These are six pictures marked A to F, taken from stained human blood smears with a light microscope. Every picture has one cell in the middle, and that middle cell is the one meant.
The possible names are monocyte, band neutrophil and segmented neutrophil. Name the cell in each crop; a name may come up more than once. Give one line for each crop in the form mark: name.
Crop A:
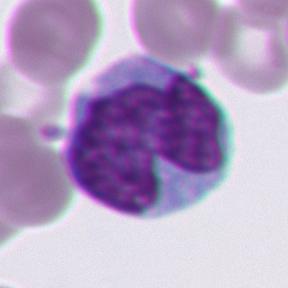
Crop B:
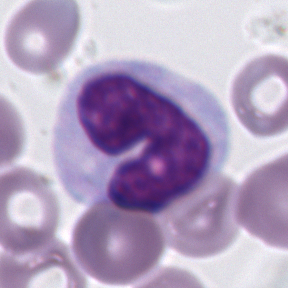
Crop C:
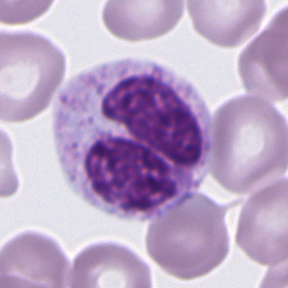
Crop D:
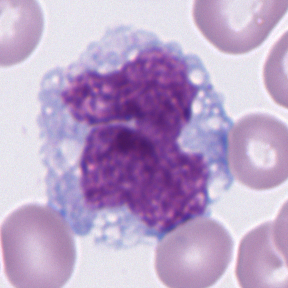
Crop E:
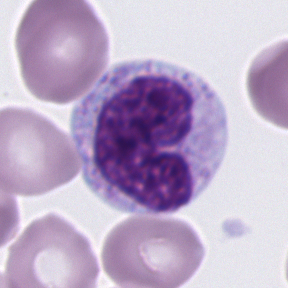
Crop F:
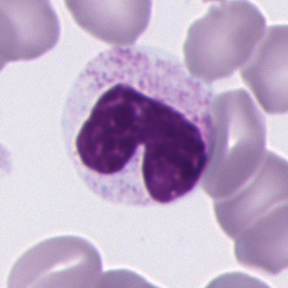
A: monocyte
B: band neutrophil
C: segmented neutrophil
D: monocyte
E: band neutrophil
F: band neutrophil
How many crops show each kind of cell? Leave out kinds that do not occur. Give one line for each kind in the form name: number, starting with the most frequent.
band neutrophil: 3
monocyte: 2
segmented neutrophil: 1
